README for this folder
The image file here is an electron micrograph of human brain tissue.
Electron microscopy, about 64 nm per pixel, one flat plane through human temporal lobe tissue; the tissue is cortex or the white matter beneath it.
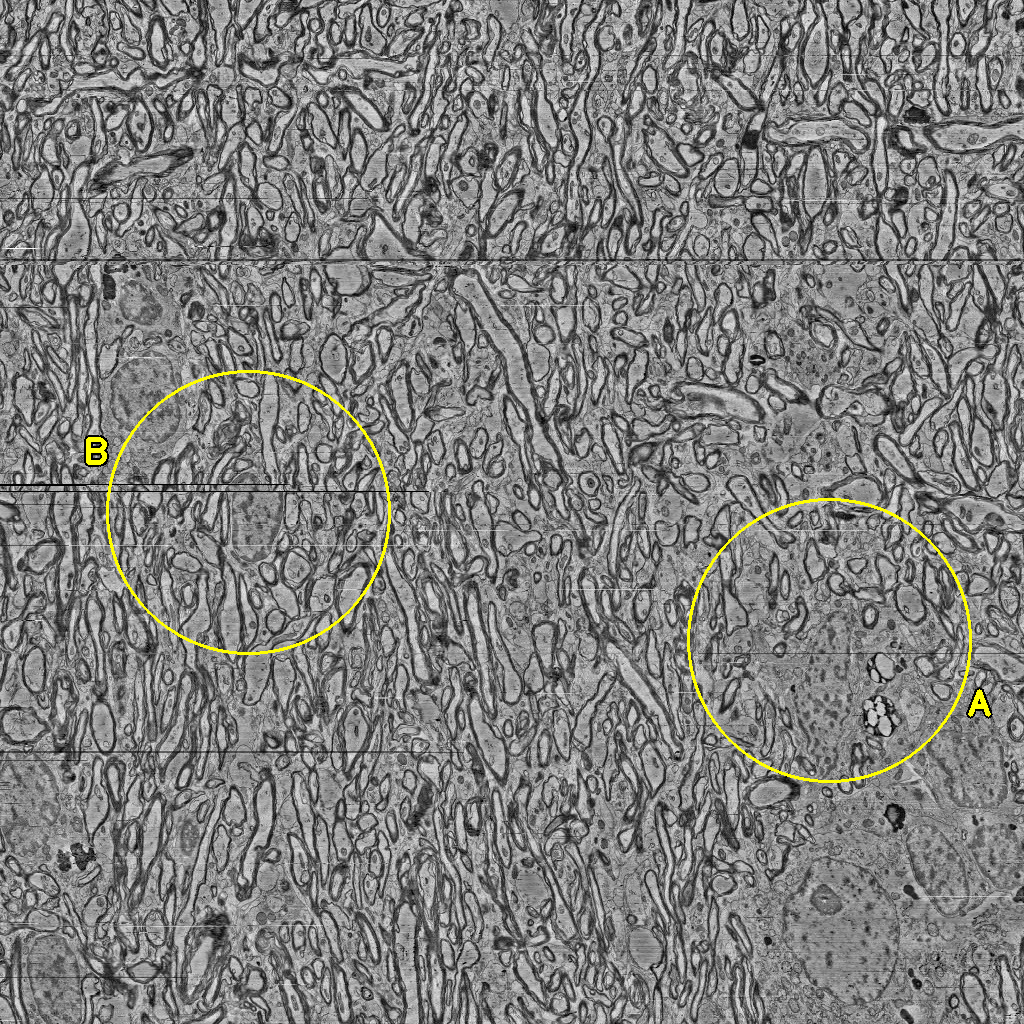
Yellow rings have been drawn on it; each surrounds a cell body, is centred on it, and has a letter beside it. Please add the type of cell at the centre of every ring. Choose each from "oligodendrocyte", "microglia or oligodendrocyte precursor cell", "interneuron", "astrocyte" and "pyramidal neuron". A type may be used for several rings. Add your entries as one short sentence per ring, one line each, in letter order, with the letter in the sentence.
Ring A marks the cell body of an astrocyte.
Ring B marks the cell body of a microglial cell or oligodendrocyte precursor cell.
